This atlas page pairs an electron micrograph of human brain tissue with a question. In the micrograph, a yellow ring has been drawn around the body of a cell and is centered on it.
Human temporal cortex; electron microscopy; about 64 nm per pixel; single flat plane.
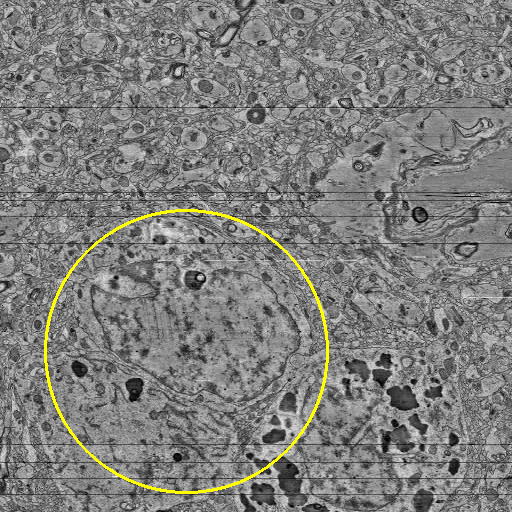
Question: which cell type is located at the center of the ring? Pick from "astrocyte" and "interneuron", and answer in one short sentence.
Located at the center of the ring is an interneuron.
